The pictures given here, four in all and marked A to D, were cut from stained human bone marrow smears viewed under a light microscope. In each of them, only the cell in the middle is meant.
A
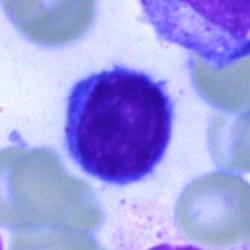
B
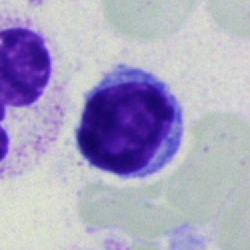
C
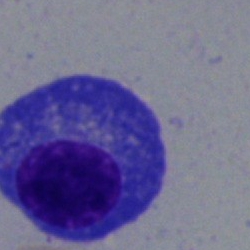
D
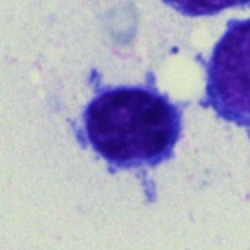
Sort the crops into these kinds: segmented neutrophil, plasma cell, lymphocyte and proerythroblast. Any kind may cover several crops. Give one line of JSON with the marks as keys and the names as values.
{"A": "lymphocyte", "B": "lymphocyte", "C": "plasma cell", "D": "lymphocyte"}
